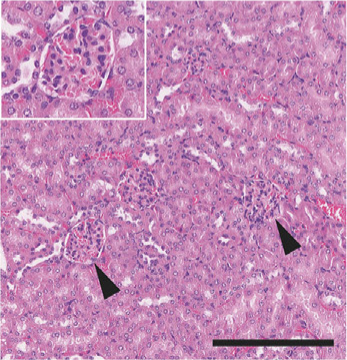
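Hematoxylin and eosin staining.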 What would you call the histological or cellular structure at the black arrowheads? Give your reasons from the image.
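Corpuscles. Round, densely cellular tufts with many dark nuclei. They sit among pink tubular cross-sections.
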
